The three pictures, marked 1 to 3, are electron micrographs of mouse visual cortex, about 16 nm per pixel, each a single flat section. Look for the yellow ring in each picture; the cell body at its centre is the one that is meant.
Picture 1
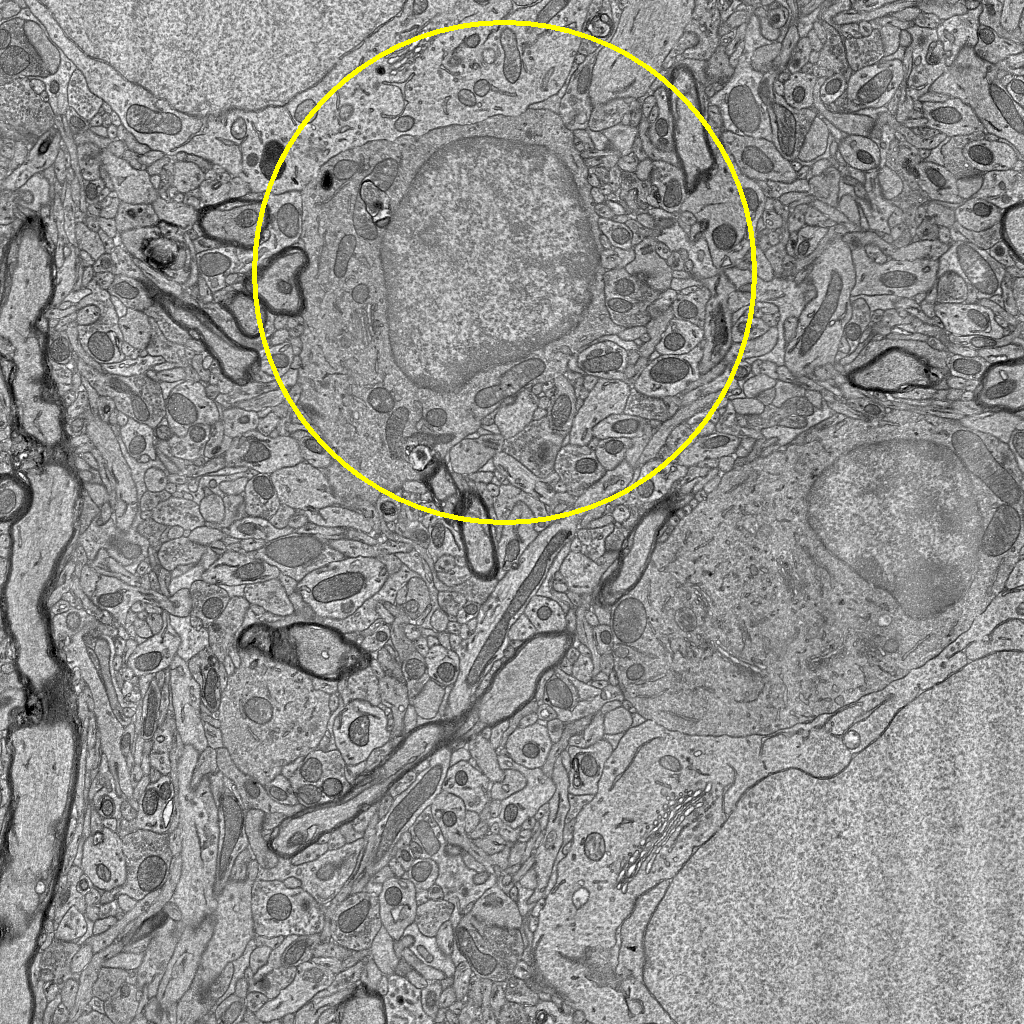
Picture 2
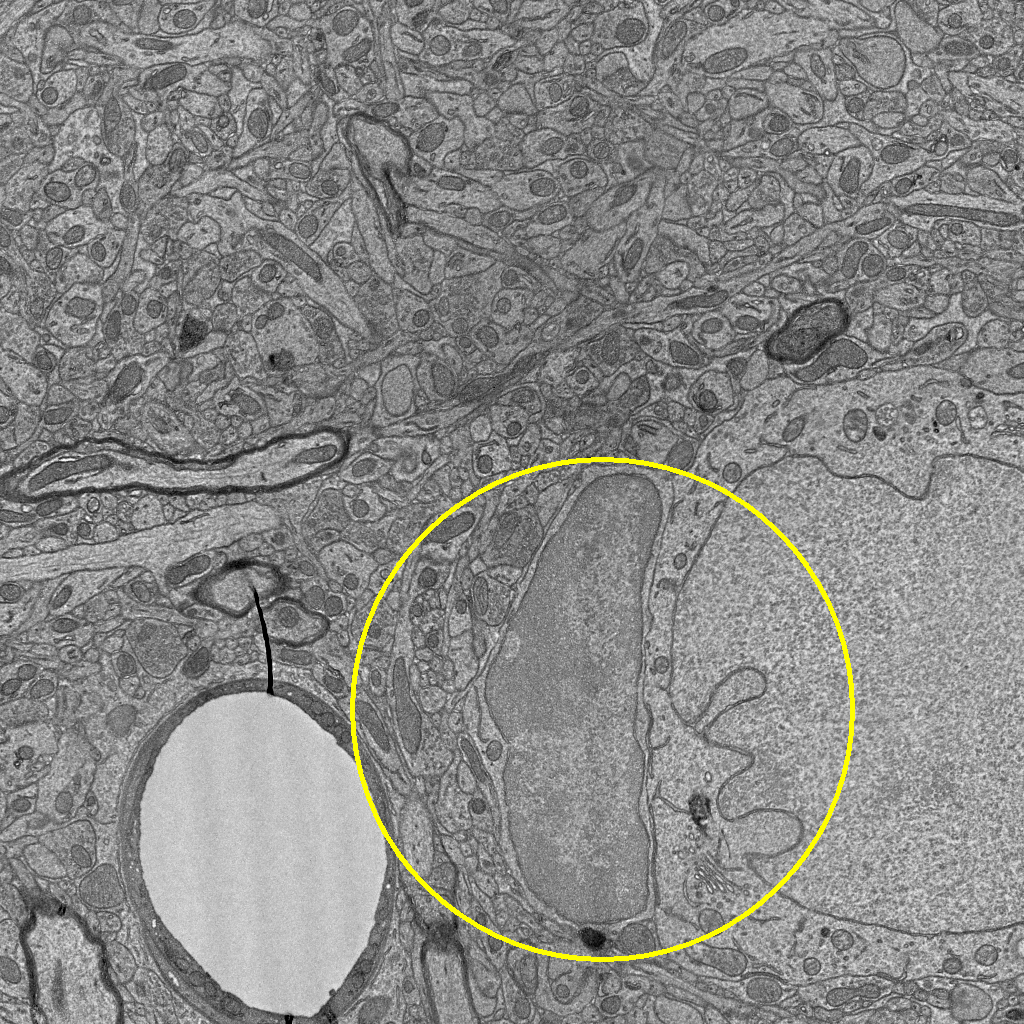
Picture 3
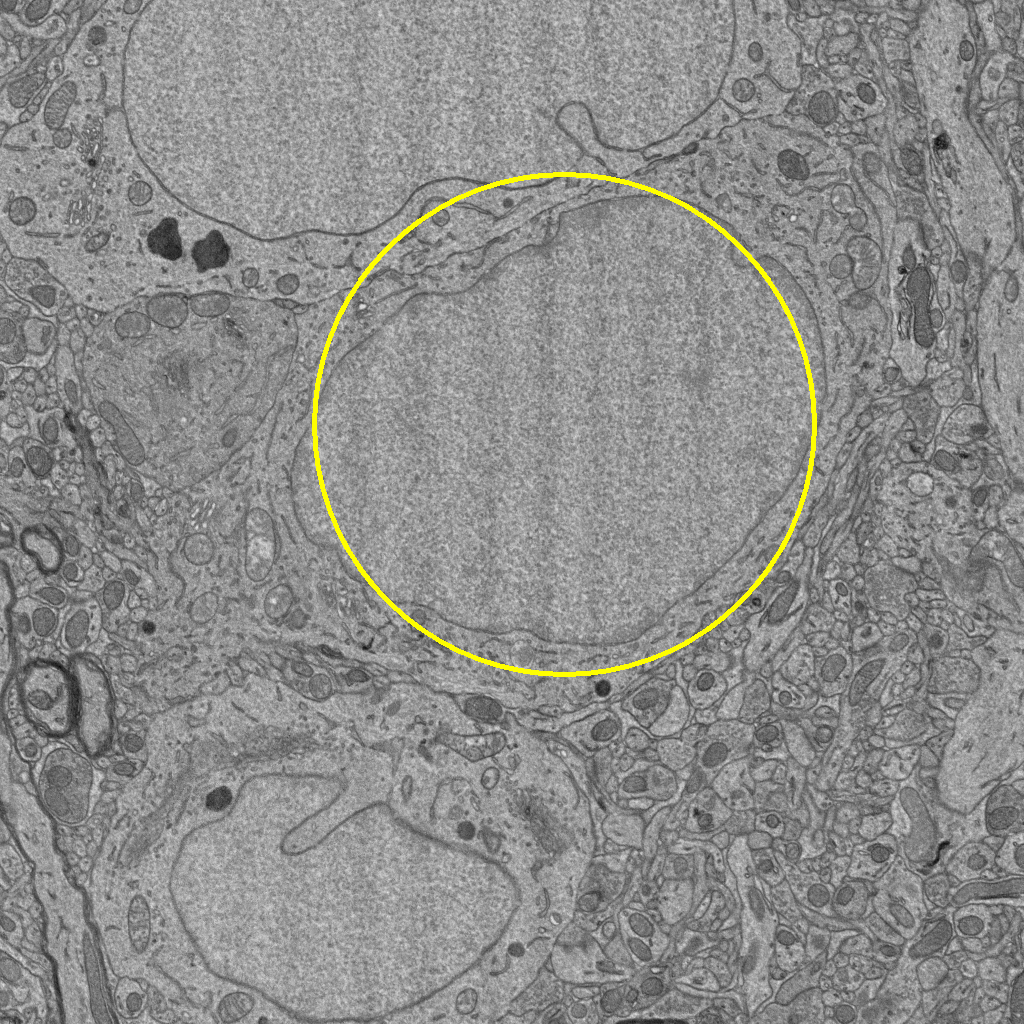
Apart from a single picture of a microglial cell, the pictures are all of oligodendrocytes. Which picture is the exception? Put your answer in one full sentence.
The microglial cell is the one in picture 2.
